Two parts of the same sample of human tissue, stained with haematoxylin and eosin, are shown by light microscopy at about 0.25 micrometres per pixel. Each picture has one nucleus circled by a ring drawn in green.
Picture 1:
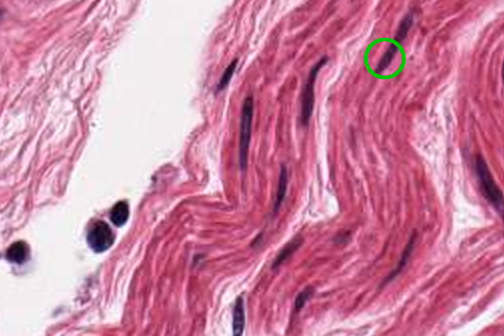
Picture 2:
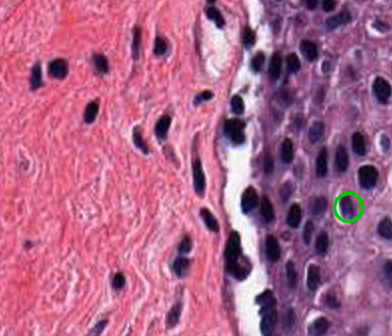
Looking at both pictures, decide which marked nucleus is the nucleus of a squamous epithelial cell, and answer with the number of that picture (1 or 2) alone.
2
